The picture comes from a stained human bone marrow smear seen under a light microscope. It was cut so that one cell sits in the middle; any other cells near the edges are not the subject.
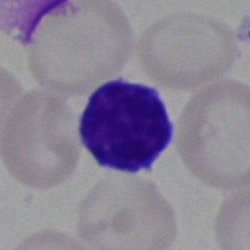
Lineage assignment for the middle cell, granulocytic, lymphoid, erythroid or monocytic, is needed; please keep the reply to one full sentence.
The cell located at the center of the crop is lymphoid by lineage.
